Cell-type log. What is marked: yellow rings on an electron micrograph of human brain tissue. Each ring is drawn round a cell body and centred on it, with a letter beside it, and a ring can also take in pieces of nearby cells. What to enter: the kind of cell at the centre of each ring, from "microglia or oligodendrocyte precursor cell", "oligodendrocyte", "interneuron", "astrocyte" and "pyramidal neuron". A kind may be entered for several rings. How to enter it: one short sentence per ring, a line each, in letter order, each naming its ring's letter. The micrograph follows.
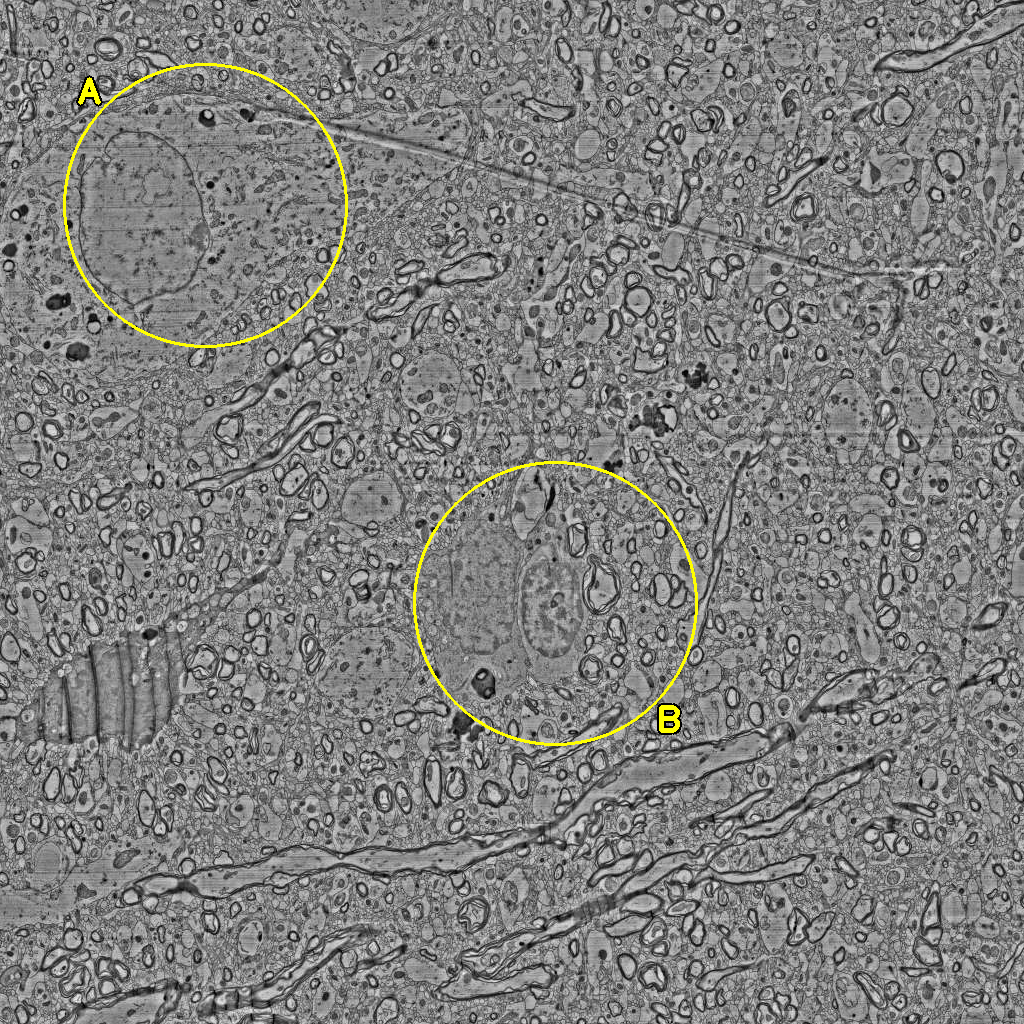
For ring A, the centre cell is a pyramidal neuron.
For ring B, the centre cell is an oligodendrocyte.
